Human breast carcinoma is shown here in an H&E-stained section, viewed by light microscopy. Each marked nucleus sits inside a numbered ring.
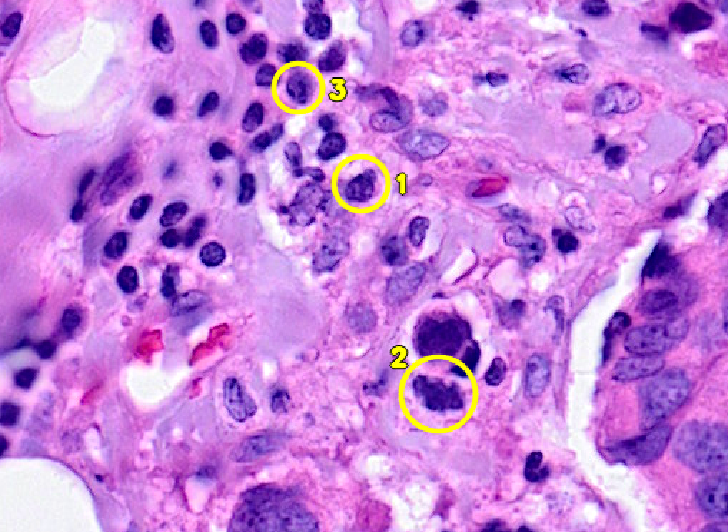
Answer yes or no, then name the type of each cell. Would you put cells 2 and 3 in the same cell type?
No, a lymphocyte is what cell 3 is, while cell 2 is a carcinoma cell.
